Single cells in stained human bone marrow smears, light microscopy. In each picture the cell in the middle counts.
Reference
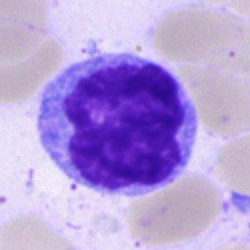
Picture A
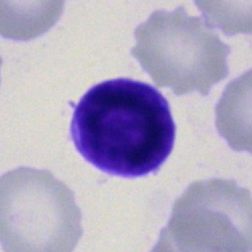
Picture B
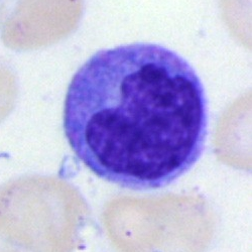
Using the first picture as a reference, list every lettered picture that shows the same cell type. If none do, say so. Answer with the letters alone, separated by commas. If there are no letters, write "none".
B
